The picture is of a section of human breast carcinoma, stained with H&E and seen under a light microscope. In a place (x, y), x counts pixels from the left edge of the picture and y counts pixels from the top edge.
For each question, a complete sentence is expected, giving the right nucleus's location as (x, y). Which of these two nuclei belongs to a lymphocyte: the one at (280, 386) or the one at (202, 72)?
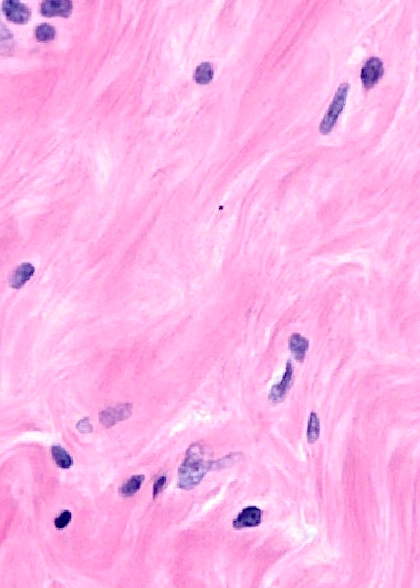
Of the two nuclei, the one at (202, 72) belongs to a lymphocyte.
